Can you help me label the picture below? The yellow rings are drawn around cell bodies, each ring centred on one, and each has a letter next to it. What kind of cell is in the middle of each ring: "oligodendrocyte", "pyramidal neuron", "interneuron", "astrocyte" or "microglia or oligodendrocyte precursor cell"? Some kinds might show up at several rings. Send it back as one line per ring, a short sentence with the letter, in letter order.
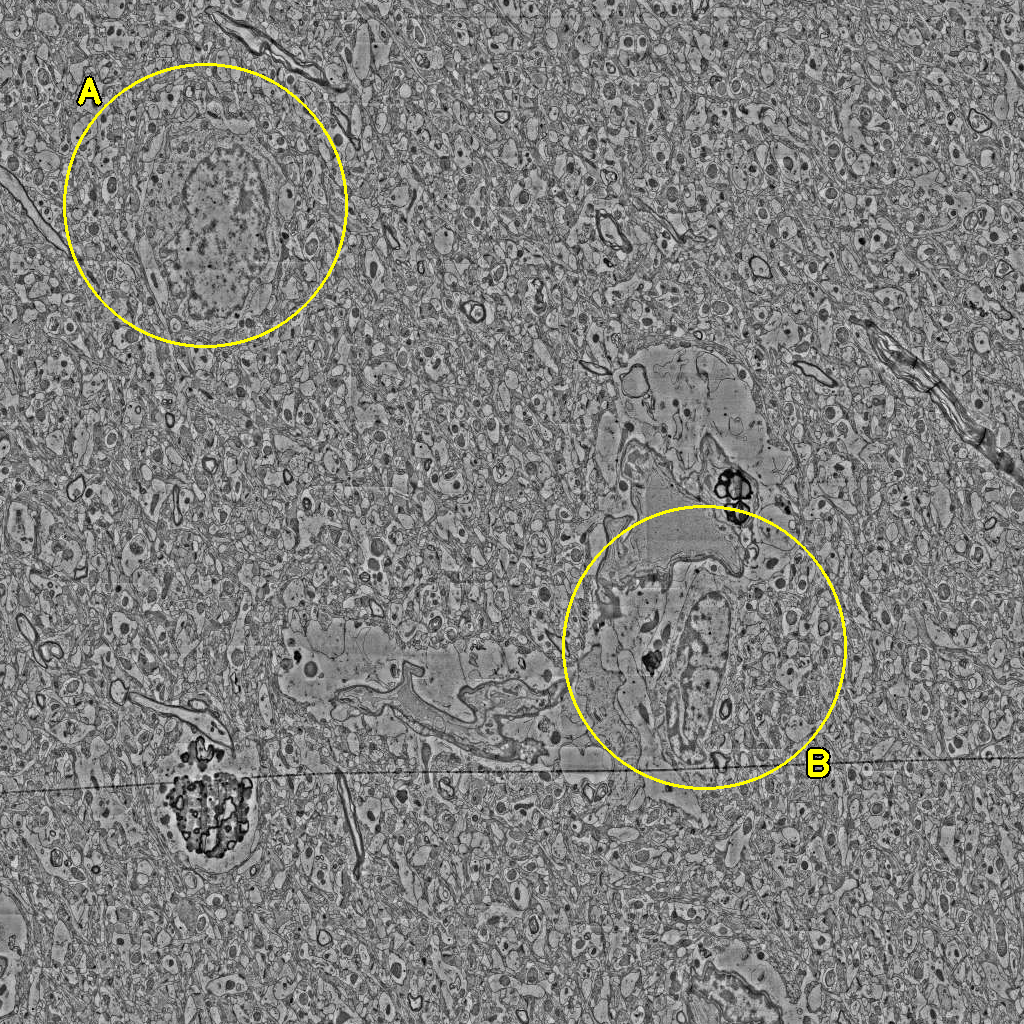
Ring A has an interneuron in the middle.
Ring B has a microglial cell or oligodendrocyte precursor cell in the middle.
